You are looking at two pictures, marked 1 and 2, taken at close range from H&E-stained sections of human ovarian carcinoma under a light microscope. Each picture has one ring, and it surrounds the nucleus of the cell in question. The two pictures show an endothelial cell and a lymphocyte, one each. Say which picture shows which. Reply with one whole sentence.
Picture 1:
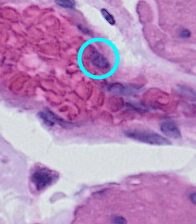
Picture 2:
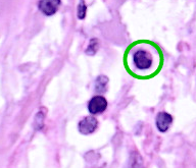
The cell in picture 1 is an endothelial cell, and the one in picture 2 is a lymphocyte.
